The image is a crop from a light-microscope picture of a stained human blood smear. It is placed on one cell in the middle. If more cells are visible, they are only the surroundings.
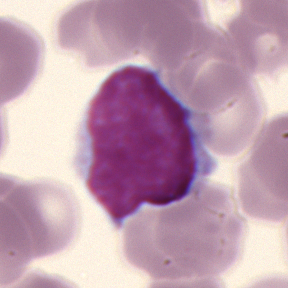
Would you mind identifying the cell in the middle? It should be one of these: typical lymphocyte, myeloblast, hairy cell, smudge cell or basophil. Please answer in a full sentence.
In the middle of this smear crop is a typical lymphocyte.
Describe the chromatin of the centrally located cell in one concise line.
The chromatin remains finely textured, with no coarse clumps to speak of.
